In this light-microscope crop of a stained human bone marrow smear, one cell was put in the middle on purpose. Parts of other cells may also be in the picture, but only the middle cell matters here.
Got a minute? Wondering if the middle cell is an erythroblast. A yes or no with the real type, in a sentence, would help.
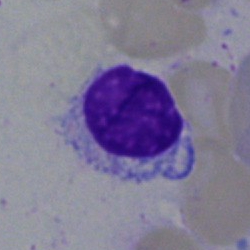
No, it isn't an erythroblast; what sits in the middle is a lymphocyte.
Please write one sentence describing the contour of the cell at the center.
The boundary of the cell runs irregularly, ragged in parts or drawn into projections.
